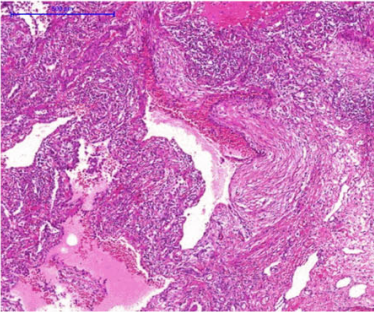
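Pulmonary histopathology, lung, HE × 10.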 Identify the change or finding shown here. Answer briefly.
Fibrosis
